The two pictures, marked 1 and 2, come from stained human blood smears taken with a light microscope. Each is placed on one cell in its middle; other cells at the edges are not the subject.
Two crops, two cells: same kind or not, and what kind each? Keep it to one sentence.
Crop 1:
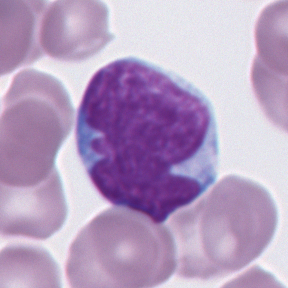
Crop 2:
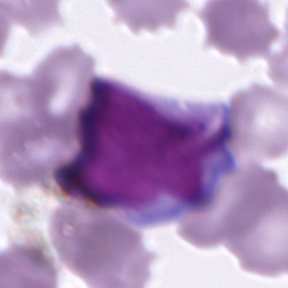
Yes, both crops show blasts, each crop centred on one of them.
